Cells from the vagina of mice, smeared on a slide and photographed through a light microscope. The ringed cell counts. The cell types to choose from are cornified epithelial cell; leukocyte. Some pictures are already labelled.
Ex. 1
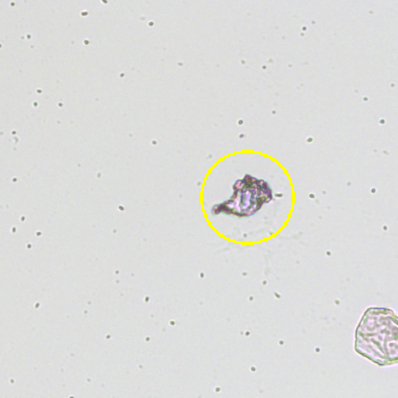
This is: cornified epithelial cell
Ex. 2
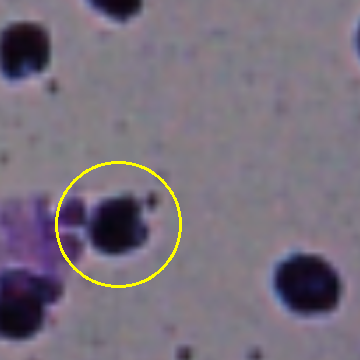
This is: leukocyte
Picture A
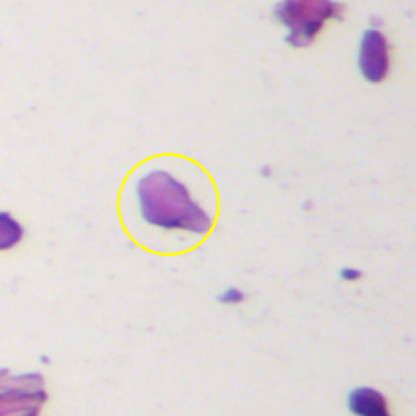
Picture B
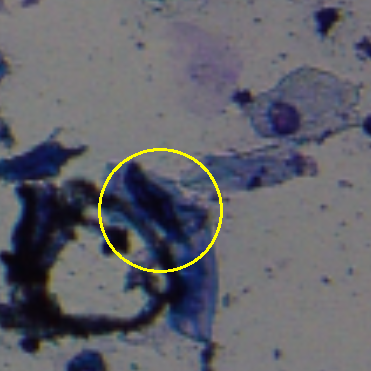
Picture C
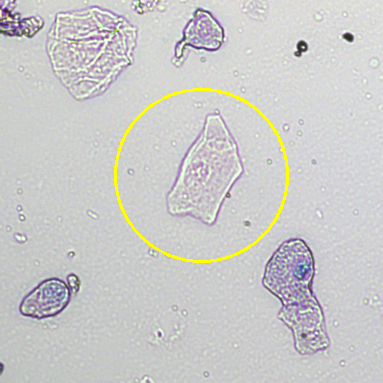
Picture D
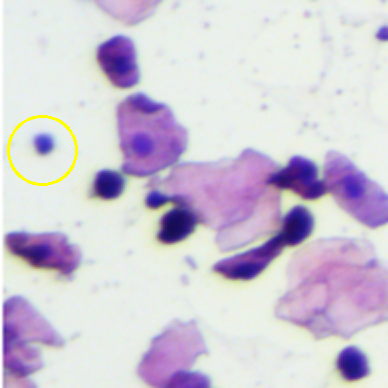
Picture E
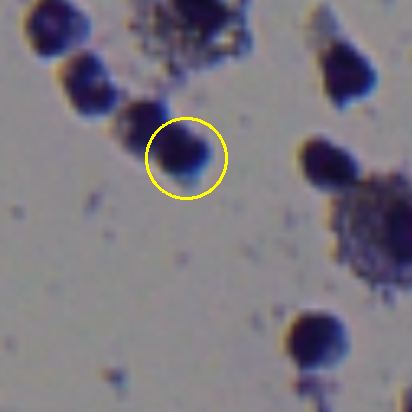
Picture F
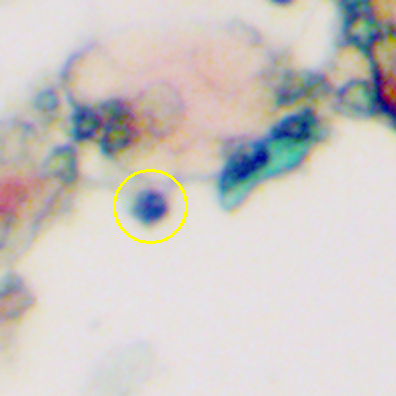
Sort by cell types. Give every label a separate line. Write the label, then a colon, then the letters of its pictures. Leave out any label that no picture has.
cornified epithelial cell: A, B, C
leukocyte: D, E, F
